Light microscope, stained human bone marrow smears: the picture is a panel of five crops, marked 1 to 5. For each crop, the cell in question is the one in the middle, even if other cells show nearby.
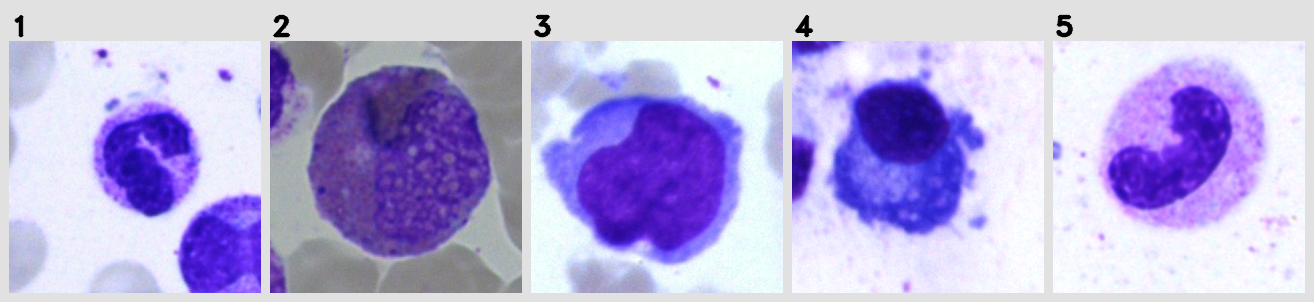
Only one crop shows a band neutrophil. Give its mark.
5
